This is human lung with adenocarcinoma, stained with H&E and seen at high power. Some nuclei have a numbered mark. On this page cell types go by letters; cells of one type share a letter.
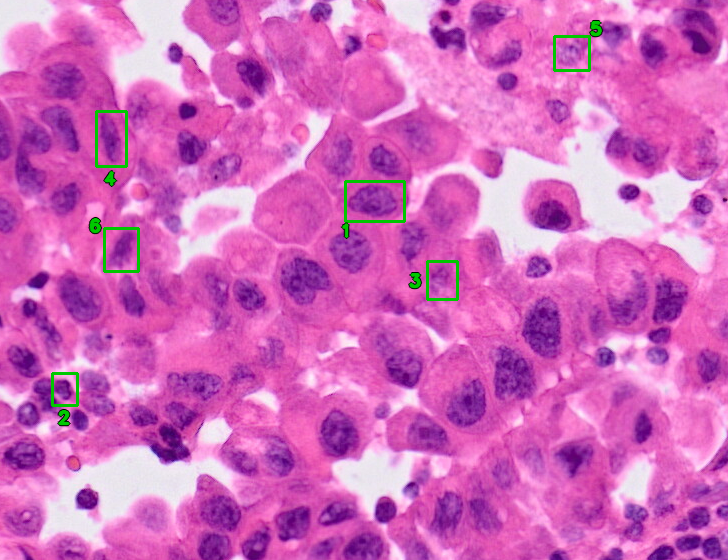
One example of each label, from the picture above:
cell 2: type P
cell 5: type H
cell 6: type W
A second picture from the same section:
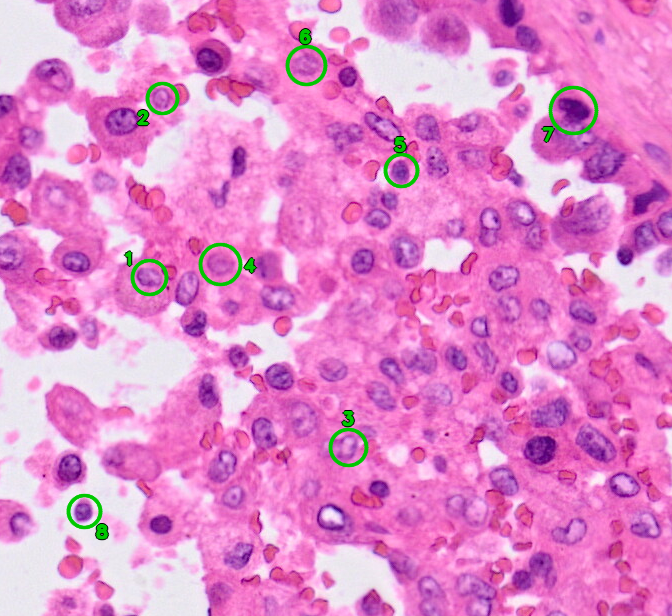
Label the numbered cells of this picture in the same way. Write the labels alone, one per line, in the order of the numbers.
type H
type H
type H
type H
type P
type H
type W
type P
